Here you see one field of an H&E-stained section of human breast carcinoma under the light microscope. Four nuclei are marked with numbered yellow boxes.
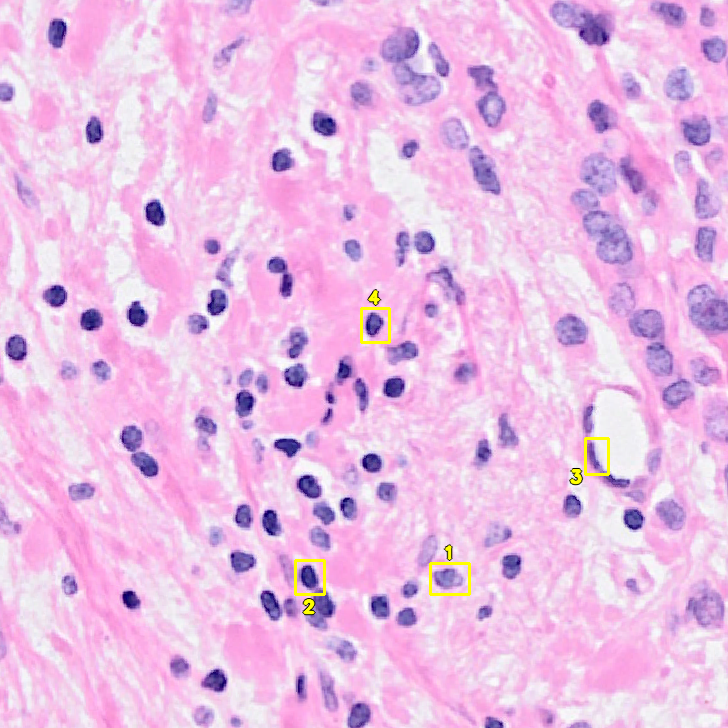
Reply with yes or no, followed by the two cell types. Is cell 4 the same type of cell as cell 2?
Yes, cells 4 and 2 are both identified as lymphocytes.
